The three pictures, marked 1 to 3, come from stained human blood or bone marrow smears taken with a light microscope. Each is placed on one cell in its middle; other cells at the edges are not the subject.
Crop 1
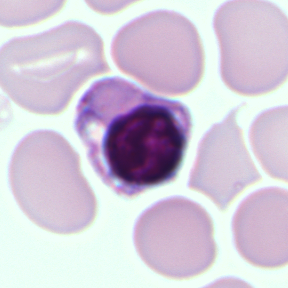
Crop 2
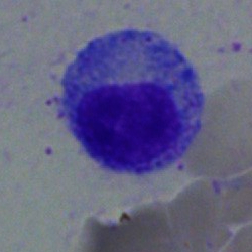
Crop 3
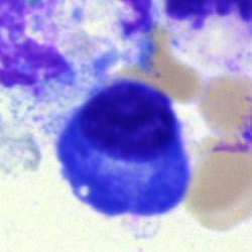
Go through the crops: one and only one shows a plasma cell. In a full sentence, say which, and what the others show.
Crop 3 is classified as a plasma cell, whereas crop 1 is an erythroblast and crop 2 is a myelocyte.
